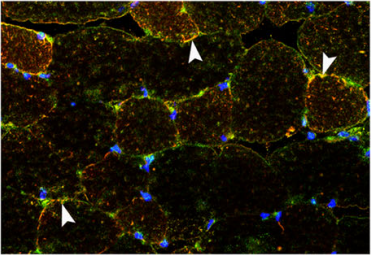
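Transverse section of skeletal muscle with closely packed, rounded polygonal muscle fibers of varying size. Small blue nuclei sit at the fiber edges and in the spaces between fibers.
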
